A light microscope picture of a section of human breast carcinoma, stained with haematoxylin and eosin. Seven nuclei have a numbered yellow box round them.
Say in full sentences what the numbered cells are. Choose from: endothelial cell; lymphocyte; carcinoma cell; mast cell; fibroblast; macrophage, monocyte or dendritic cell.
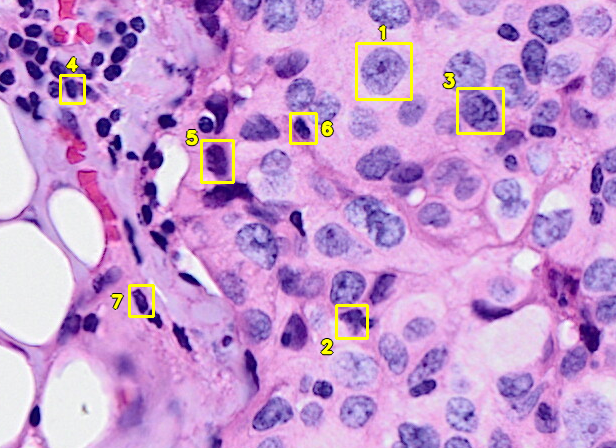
Cell 1 is a carcinoma cell, cell 2 is a carcinoma cell, cell 3 is a carcinoma cell, cell 4 is a lymphocyte, cell 5 is a carcinoma cell, cell 6 is a lymphocyte and cell 7 is a lymphocyte.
